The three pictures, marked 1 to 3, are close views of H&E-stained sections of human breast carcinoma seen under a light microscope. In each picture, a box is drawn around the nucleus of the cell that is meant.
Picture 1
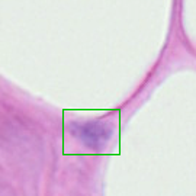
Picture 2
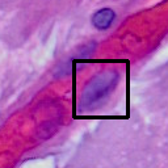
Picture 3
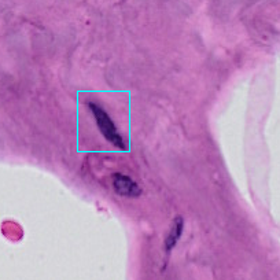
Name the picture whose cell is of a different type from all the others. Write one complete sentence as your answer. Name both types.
Picture 2 differs, because its cell is an endothelial cell and the rest are fibroblasts.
